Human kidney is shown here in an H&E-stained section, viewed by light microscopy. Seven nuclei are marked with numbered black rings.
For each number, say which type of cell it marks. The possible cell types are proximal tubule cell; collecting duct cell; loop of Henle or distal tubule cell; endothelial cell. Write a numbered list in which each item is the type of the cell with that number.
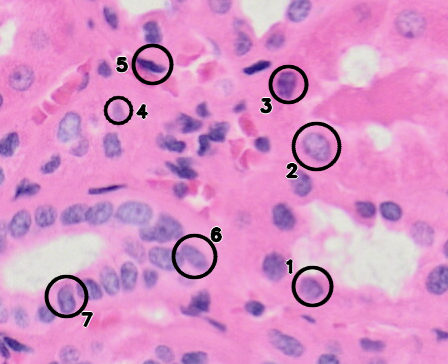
1. loop of Henle or distal tubule cell
2. proximal tubule cell
3. proximal tubule cell
4. loop of Henle or distal tubule cell
5. endothelial cell
6. collecting duct cell
7. collecting duct cell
